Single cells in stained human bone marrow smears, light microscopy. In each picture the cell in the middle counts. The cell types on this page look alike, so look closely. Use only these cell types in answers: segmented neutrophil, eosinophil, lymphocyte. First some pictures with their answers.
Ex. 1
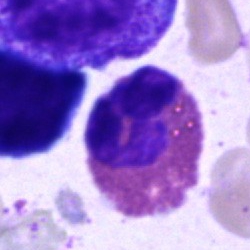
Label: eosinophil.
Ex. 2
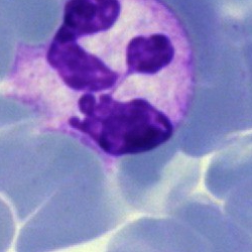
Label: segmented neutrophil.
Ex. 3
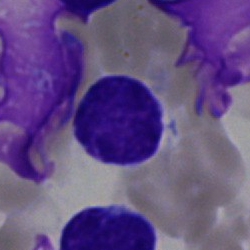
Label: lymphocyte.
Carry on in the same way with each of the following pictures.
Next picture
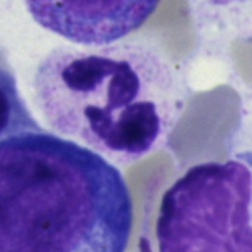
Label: segmented neutrophil.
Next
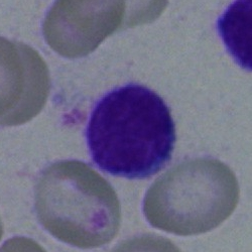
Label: lymphocyte.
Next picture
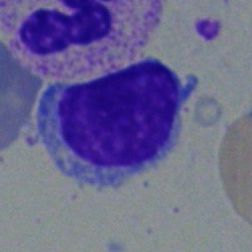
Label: lymphocyte.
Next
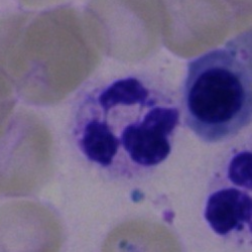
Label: segmented neutrophil.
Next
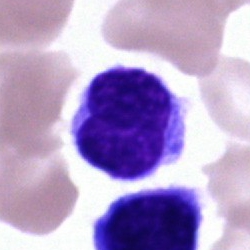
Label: lymphocyte.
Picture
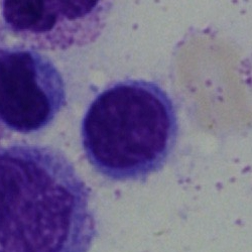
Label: lymphocyte.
